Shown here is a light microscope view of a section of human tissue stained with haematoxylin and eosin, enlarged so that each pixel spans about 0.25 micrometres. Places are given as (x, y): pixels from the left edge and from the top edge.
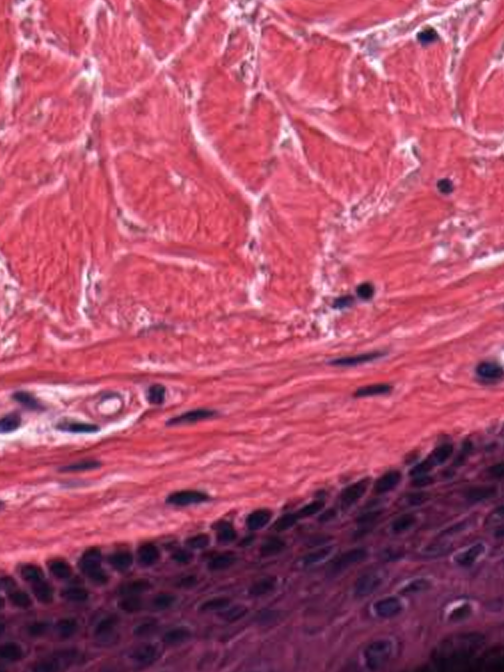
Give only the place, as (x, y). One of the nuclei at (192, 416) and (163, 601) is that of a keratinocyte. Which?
(163, 601)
